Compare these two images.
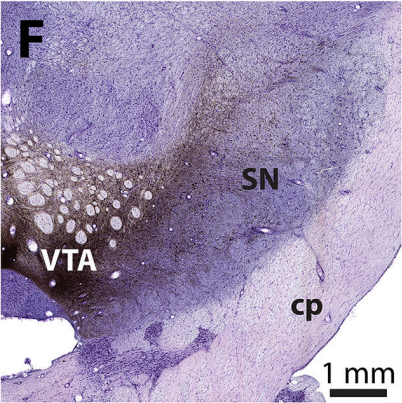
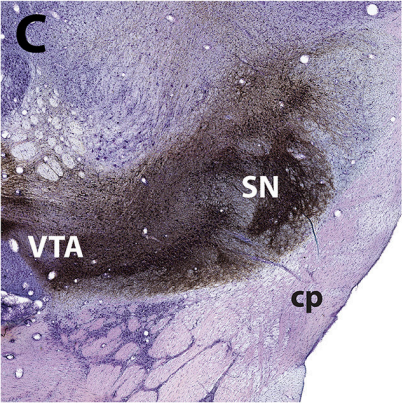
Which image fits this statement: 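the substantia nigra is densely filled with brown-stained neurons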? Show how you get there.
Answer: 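The second image. First image: the region labelled as substantia nigra is mostly purple, with little brown staining. Second image: the region labelled as substantia nigra is dark brown throughout, forming a dense band.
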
